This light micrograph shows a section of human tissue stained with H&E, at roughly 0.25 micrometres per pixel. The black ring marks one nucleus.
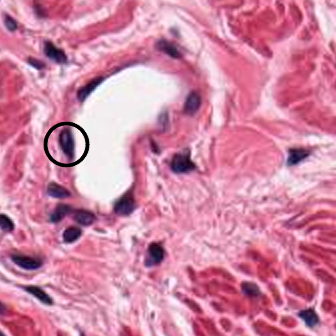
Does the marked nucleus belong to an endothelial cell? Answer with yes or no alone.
yes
